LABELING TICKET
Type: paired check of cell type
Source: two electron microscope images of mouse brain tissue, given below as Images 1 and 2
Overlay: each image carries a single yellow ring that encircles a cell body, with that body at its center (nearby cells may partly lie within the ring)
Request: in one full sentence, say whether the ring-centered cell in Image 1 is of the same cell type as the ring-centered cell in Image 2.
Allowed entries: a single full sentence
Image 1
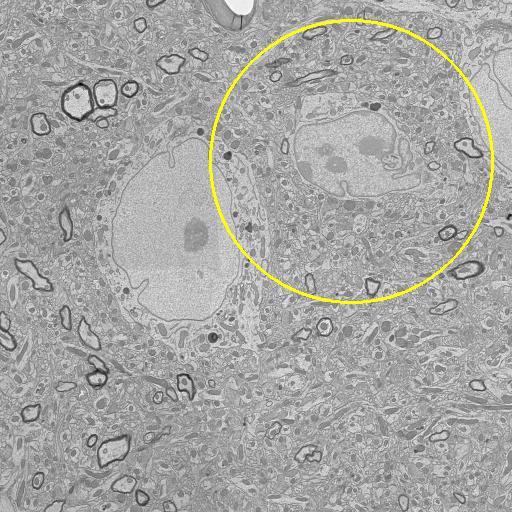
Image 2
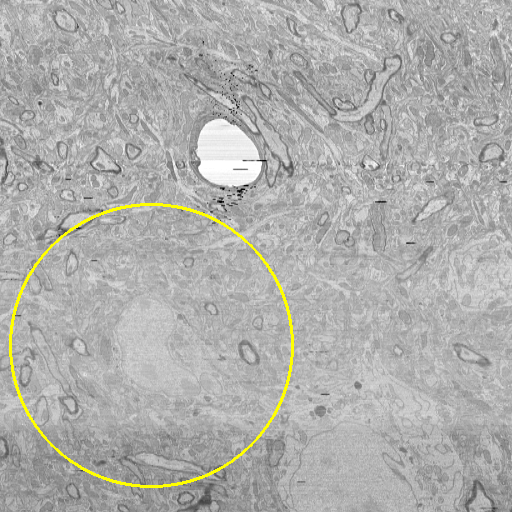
Yes, the cells centered in the rings of Image 1 and Image 2 share one type.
